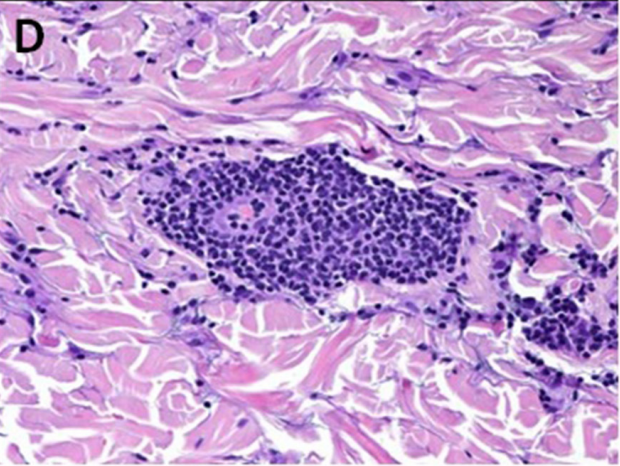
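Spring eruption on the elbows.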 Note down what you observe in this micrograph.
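Dermis with a dense cluster of small lymphocytes with dark round nuclei packed around a small vessel with a narrow central lumen. A second smaller cluster of similar cells lies at the lower right. The surrounding dermis consists of thick pink collagen bundles with scattered elongated spindle-shaped nuclei. The infiltrate stays confined around the vessel and does not spread far into the collagen between bundles.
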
